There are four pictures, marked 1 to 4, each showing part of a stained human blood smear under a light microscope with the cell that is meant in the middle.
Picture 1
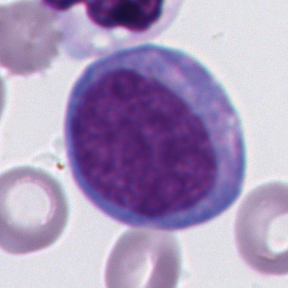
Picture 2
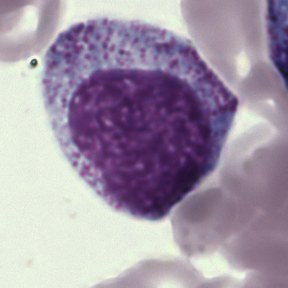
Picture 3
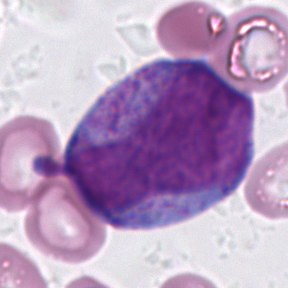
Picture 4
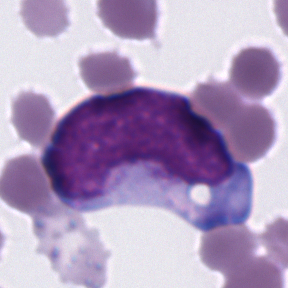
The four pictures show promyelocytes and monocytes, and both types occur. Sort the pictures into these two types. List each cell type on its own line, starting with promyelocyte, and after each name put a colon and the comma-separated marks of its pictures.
promyelocyte: 1, 2, 3
monocyte: 4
